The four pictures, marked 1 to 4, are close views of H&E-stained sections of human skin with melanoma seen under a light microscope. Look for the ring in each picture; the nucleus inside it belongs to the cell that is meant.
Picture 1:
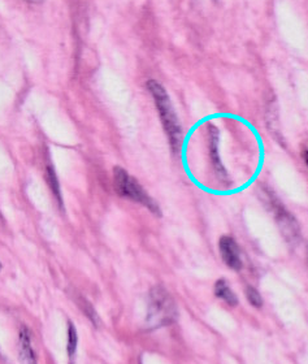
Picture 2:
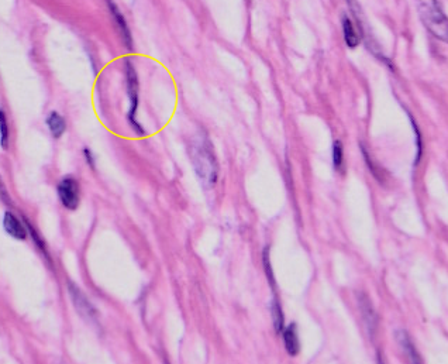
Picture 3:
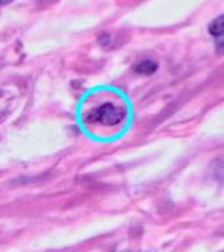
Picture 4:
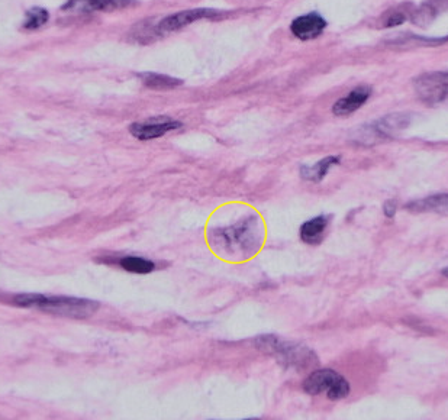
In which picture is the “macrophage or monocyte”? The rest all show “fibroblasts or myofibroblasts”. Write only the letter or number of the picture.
3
